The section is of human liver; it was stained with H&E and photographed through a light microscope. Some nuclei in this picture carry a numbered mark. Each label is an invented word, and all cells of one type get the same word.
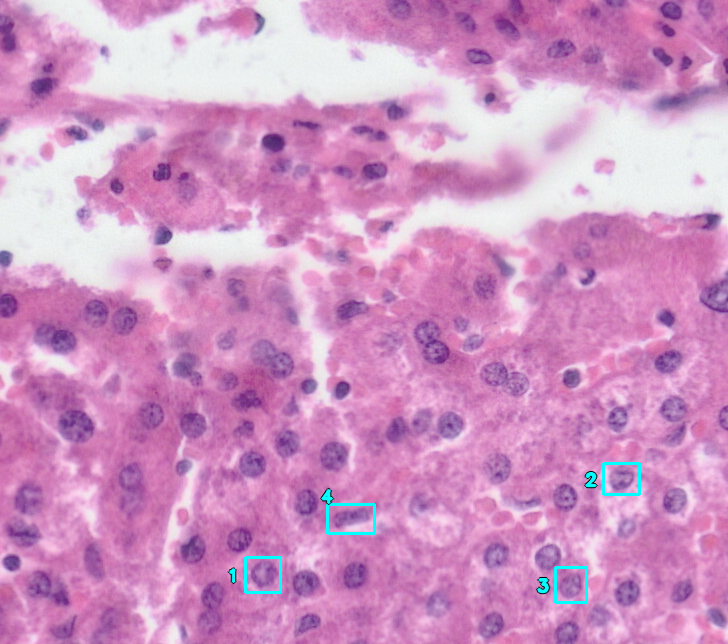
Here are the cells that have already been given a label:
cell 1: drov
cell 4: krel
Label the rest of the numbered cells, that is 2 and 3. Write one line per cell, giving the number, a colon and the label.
2: drov
3: drov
